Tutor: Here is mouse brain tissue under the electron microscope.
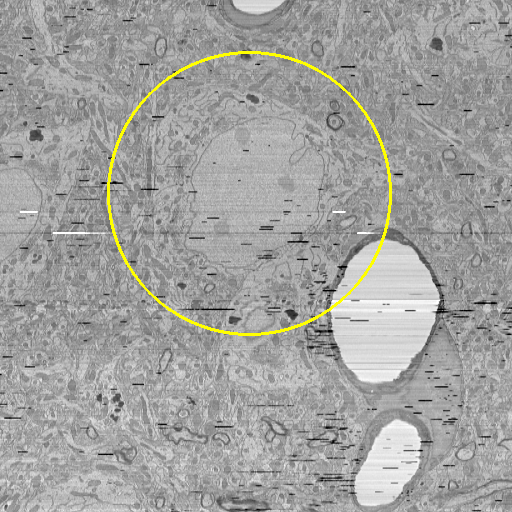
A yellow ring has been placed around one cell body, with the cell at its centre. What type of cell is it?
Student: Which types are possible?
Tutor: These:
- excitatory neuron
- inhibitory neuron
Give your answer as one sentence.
What the ring picks out here is an inhibitory neuron.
